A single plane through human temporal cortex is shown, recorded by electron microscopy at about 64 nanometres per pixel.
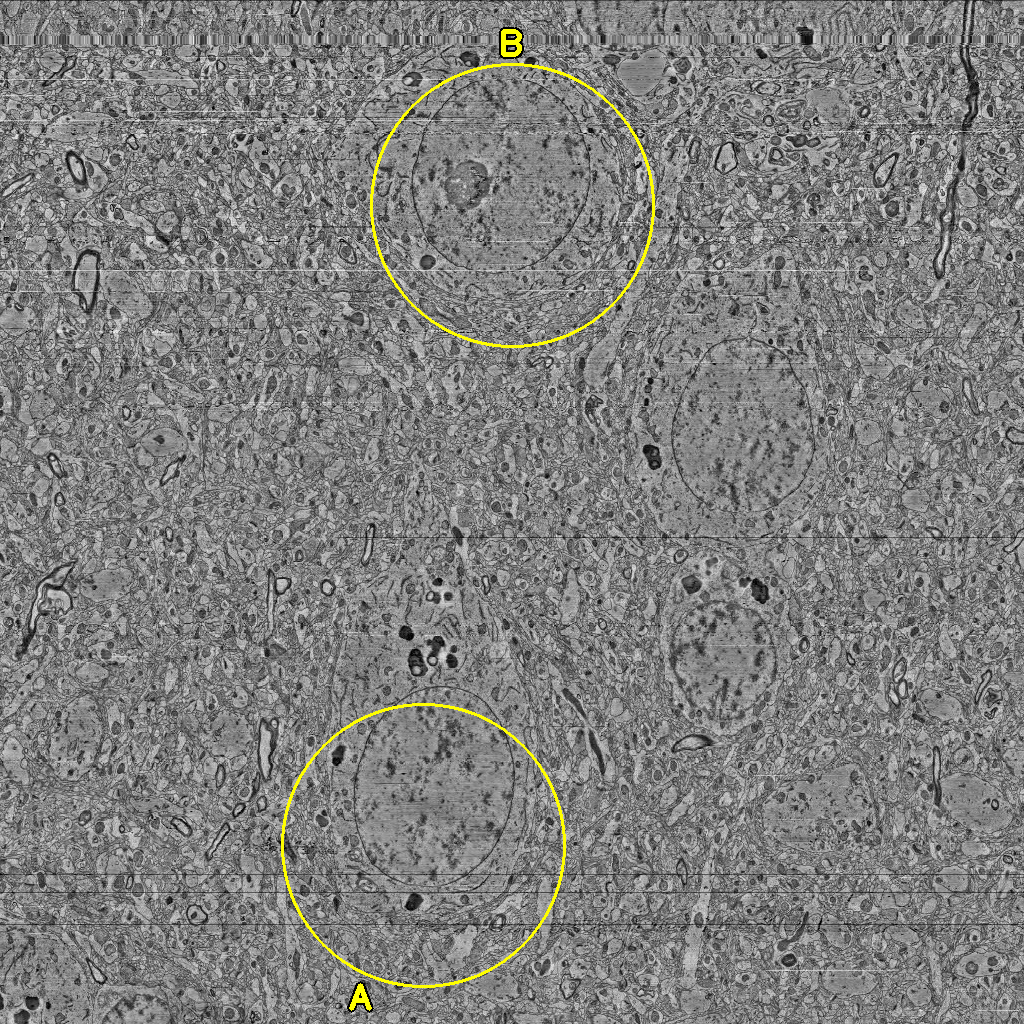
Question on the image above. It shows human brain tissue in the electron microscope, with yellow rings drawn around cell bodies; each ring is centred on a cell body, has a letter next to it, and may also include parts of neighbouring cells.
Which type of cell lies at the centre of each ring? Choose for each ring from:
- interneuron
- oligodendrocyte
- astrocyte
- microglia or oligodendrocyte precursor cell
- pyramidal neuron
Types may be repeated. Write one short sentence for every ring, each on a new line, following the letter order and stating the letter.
Ring A has been drawn around a pyramidal neuron.
Ring B has been drawn around a pyramidal neuron.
